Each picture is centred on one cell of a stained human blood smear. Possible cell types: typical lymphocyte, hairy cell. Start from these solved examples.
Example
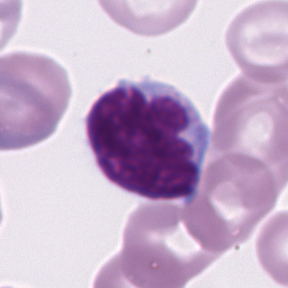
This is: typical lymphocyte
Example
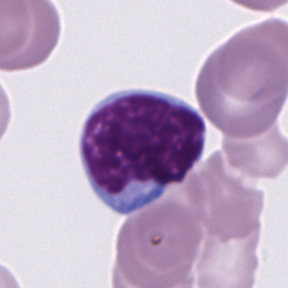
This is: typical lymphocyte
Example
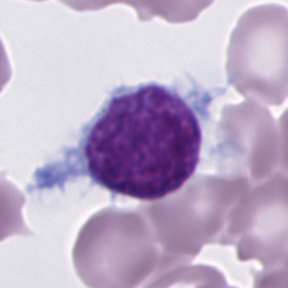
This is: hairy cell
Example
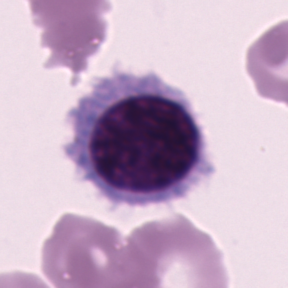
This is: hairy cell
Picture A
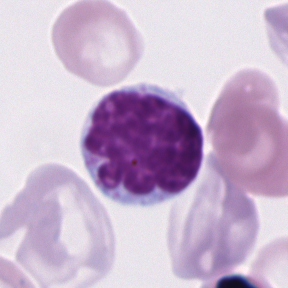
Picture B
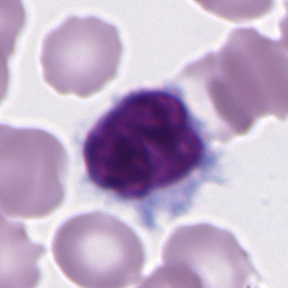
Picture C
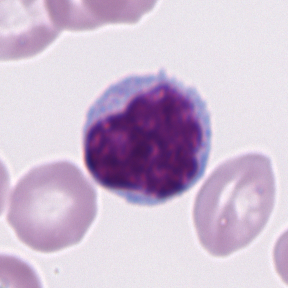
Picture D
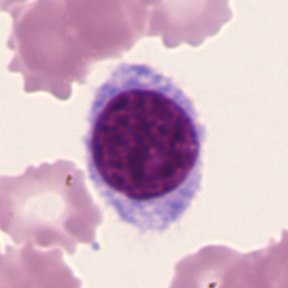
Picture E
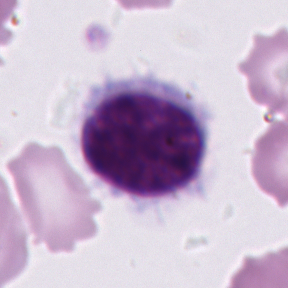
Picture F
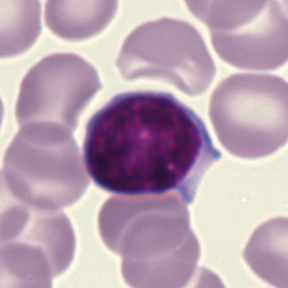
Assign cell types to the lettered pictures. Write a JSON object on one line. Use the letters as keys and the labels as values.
{"A": "typical lymphocyte", "B": "hairy cell", "C": "typical lymphocyte", "D": "hairy cell", "E": "hairy cell", "F": "typical lymphocyte"}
